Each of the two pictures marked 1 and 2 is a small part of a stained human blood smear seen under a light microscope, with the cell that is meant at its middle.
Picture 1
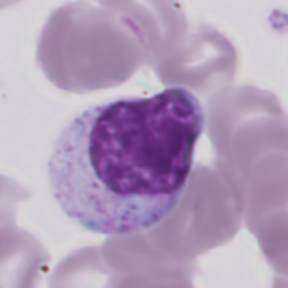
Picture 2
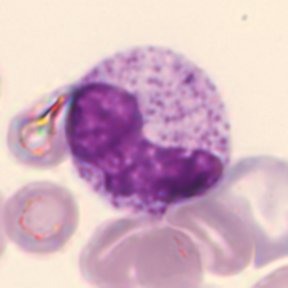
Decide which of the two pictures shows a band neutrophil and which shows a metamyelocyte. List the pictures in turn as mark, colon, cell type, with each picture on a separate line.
1: metamyelocyte
2: band neutrophil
